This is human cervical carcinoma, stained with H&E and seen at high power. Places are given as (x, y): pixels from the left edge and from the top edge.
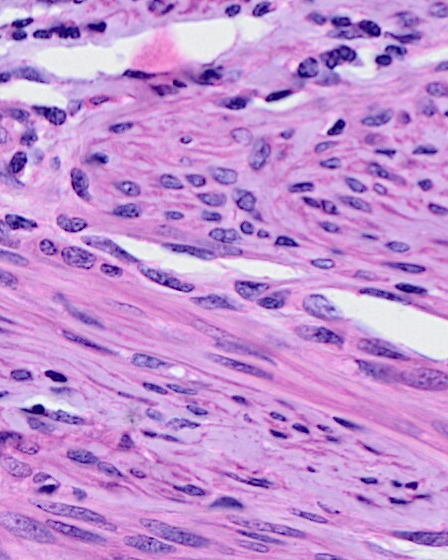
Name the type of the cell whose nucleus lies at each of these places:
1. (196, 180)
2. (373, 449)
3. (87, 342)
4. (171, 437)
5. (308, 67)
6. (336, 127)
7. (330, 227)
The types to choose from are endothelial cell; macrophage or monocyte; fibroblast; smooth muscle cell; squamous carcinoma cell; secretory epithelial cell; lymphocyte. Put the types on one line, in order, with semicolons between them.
smooth muscle cell; smooth muscle cell; smooth muscle cell; fibroblast; lymphocyte; lymphocyte; smooth muscle cell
